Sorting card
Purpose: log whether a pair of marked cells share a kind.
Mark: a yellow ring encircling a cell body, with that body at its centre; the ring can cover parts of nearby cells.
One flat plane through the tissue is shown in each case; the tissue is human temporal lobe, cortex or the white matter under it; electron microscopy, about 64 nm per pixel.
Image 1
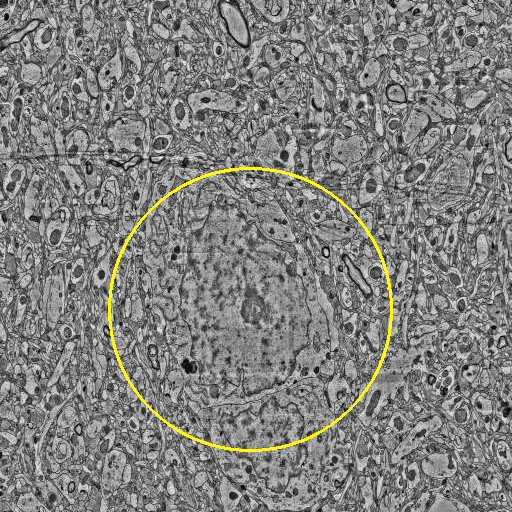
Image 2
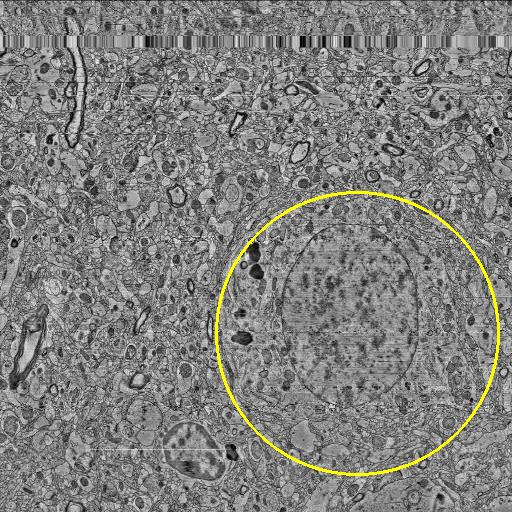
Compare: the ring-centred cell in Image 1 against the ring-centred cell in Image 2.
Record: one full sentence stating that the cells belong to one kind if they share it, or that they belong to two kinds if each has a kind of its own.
Across Images 1 and 2, the two ring-centred cells belong to one kind.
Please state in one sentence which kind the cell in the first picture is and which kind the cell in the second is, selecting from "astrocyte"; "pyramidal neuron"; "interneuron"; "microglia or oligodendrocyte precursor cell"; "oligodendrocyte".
The cell in the first picture is an interneuron, and so is the one in the second.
